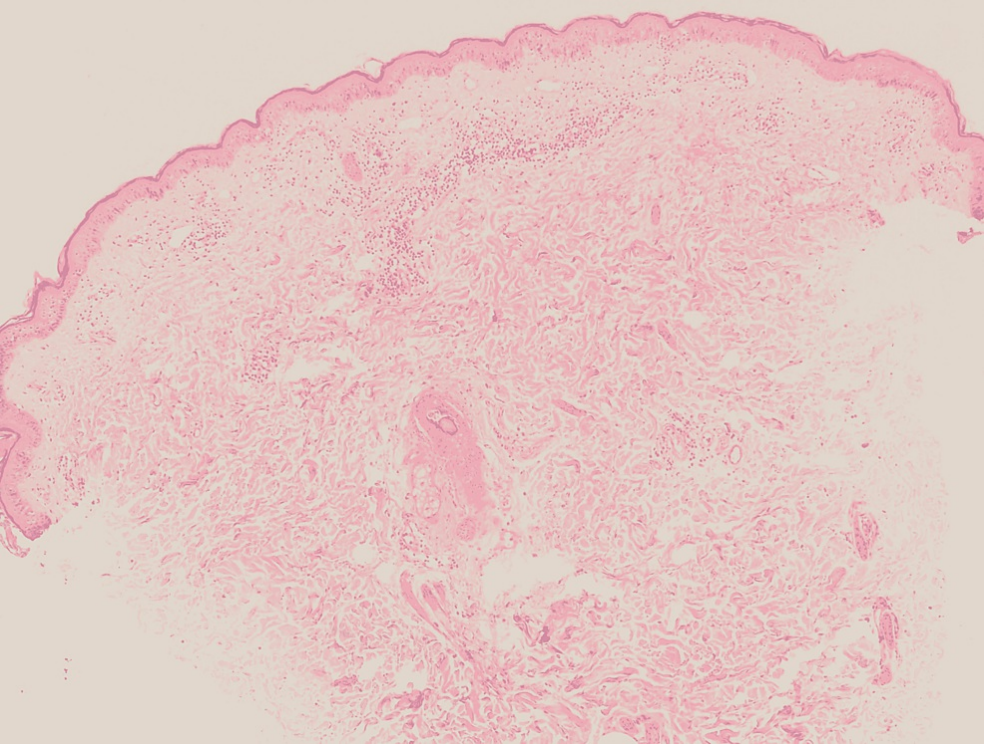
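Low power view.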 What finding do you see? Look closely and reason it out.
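Clusters of small dark nuclei gather in the upper dermis just below the surface layer. The clusters lie in bands and patches rather than spread evenly through the connective tissue.
Perivascular infiltrate of the superficial plexus.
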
